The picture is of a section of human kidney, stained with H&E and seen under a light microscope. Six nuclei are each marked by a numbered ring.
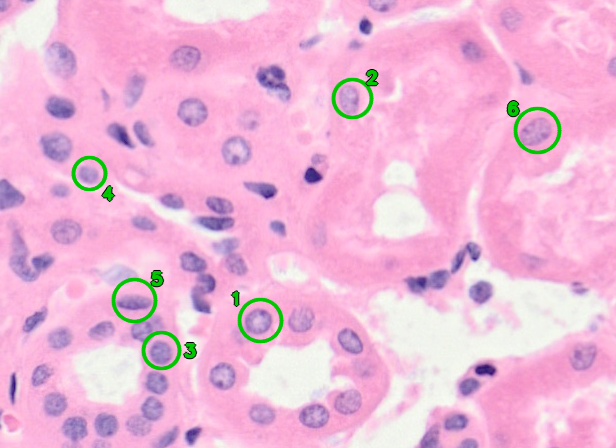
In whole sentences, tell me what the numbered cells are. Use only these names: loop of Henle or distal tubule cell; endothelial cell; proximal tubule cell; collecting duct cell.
Cells 1, 2 and 6 are proximal tubule cells. Cells 3 and 5 are collecting duct cells. Cell 4 is a loop of Henle or distal tubule cell.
